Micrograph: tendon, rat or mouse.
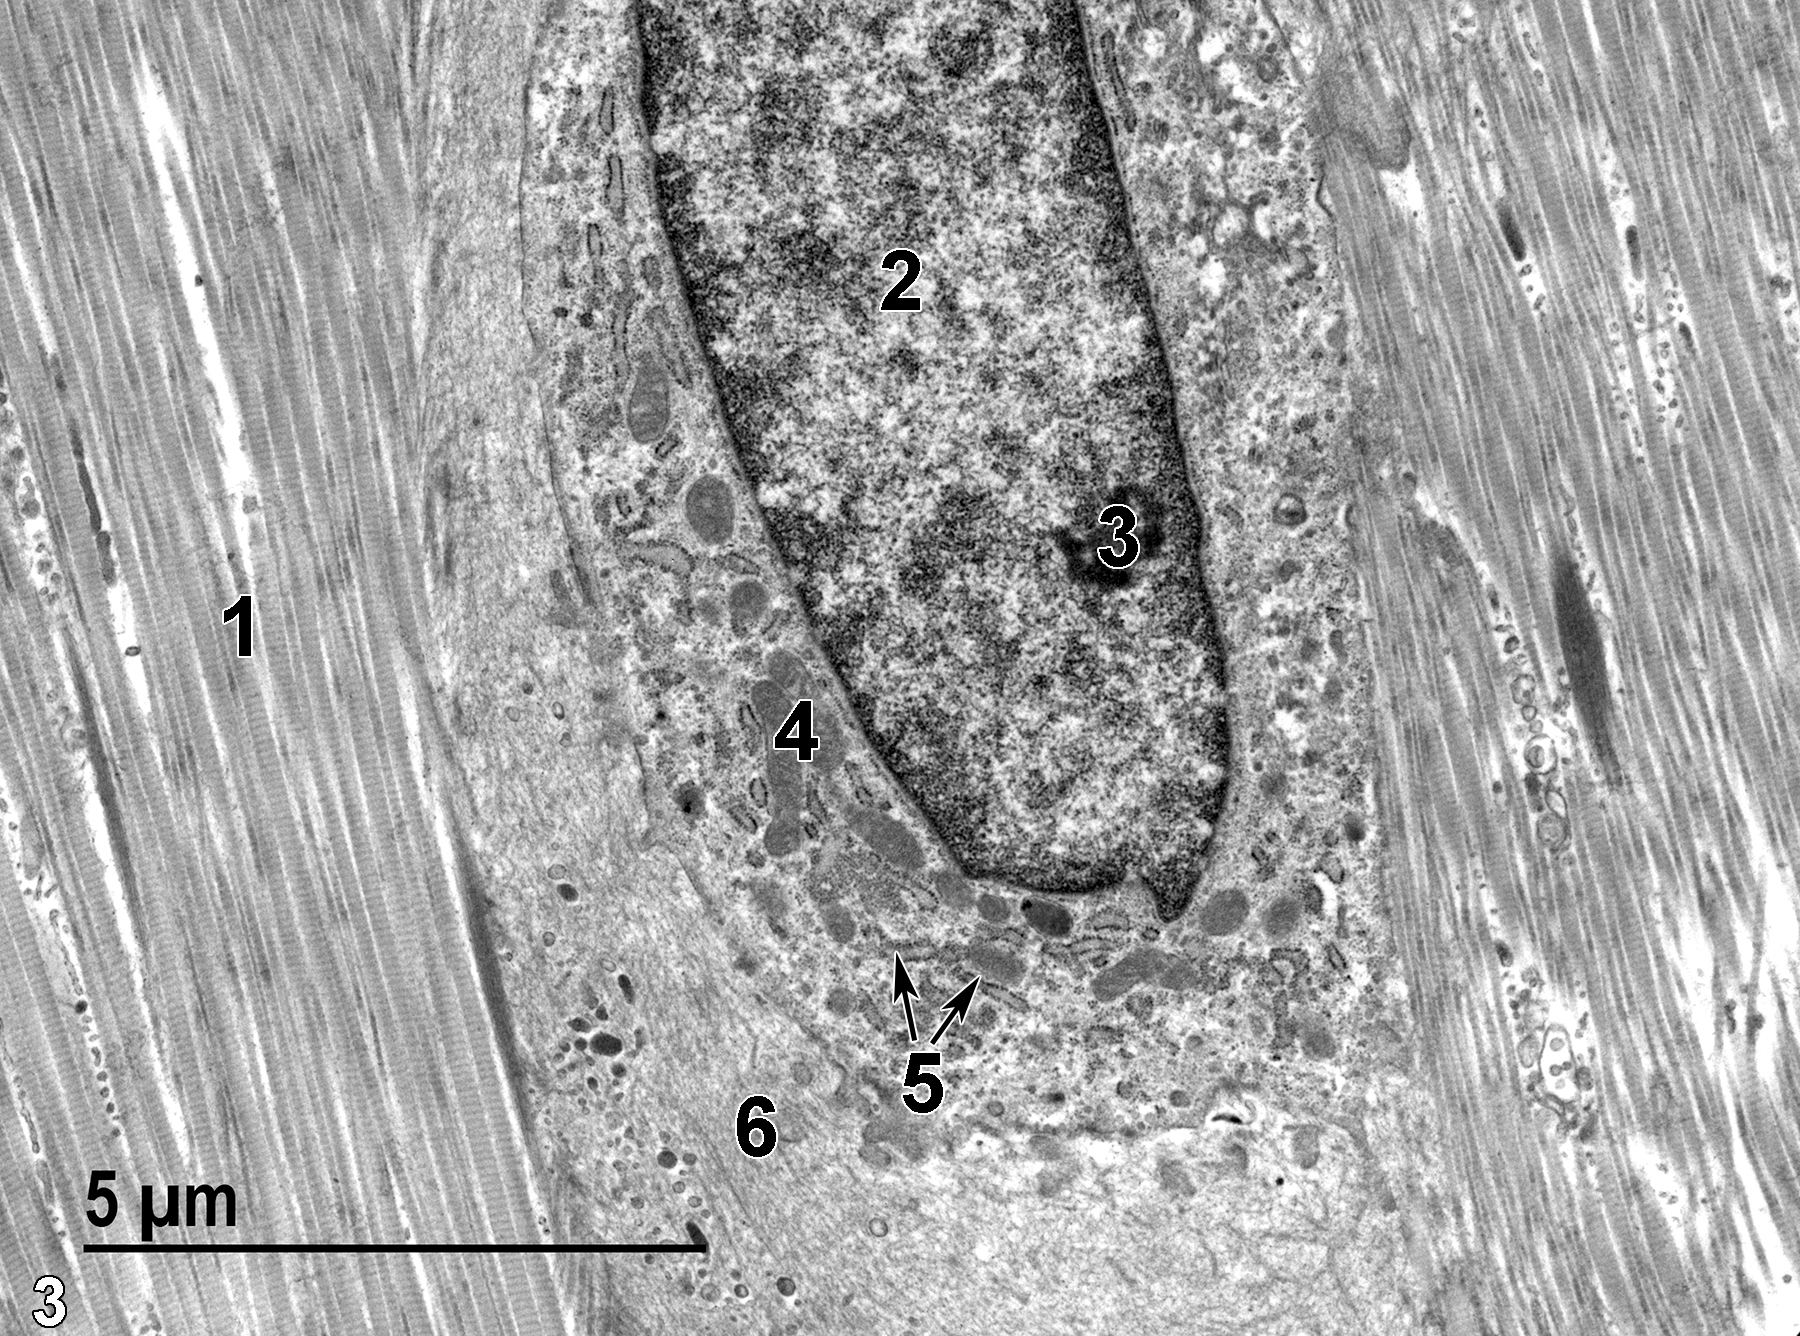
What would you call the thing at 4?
Mitochondria.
